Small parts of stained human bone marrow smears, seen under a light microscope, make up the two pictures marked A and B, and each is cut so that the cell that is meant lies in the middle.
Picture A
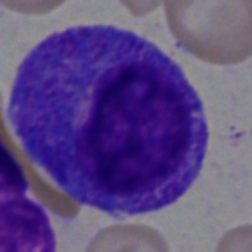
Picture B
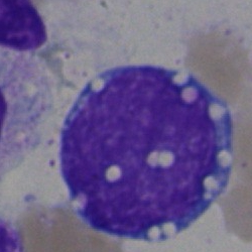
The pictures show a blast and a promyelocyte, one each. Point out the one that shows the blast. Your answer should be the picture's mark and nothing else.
B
